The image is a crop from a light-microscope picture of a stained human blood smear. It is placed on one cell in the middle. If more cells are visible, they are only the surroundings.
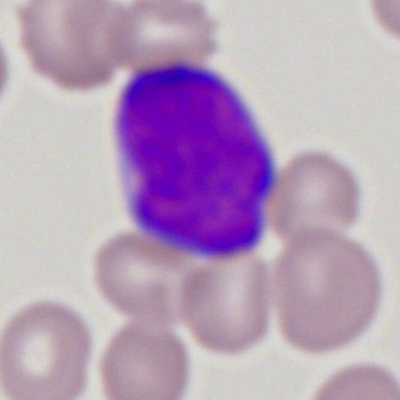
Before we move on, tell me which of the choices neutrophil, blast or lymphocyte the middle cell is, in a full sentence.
The middle position in this crop is taken by a blast.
